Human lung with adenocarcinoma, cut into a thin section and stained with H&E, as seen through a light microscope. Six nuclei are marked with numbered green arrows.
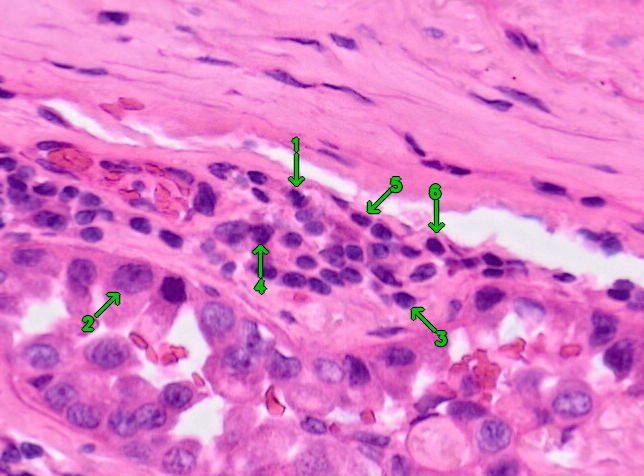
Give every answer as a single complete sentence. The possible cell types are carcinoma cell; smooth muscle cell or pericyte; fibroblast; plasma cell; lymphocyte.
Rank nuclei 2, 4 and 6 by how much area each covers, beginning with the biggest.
Going from the biggest nucleus down to the smallest gives 2, 4, 6.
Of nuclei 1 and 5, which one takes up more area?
Nucleus 1 is the larger one, covering about 2 times the area of nucleus 5.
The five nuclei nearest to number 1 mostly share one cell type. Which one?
The majority of the five nuclei closest to number 1 belong to lymphocytes.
